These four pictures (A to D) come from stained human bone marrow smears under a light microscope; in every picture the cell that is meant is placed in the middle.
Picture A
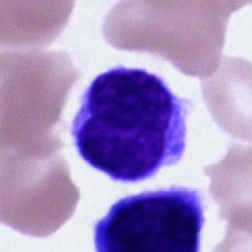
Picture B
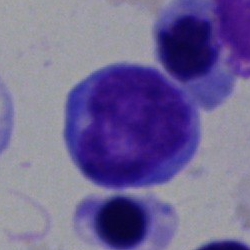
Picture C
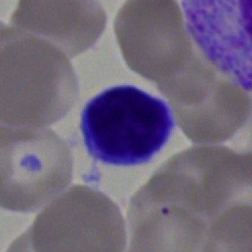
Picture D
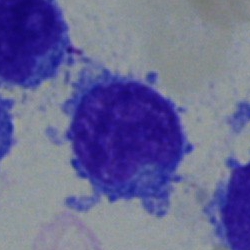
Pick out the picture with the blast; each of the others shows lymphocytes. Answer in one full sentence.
The cell in picture B is the blast.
